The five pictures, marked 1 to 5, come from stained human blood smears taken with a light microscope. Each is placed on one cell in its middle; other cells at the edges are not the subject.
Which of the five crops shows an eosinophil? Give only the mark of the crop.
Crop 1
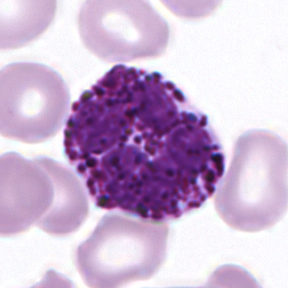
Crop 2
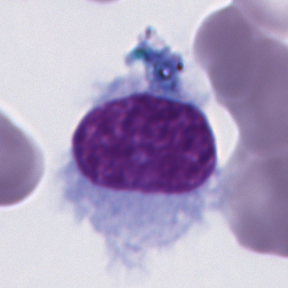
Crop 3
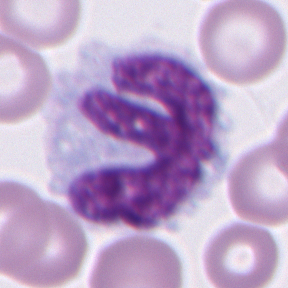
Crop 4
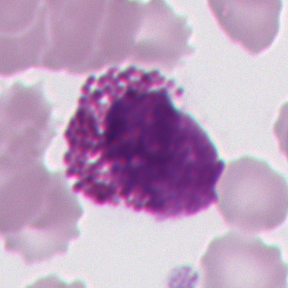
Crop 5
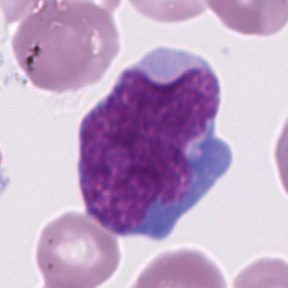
4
